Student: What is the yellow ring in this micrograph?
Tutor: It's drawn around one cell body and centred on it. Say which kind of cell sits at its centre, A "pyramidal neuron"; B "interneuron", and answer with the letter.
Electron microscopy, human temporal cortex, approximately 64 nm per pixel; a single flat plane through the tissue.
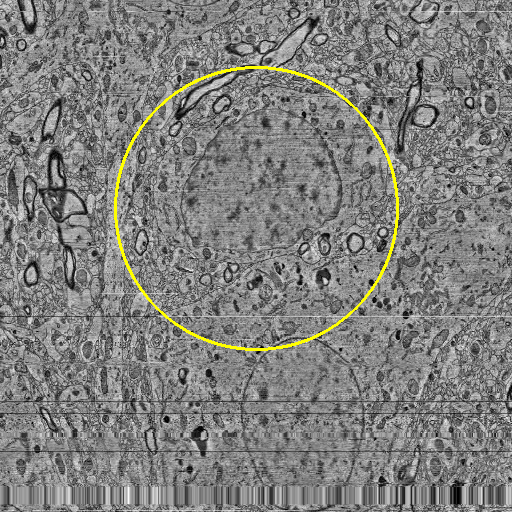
B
